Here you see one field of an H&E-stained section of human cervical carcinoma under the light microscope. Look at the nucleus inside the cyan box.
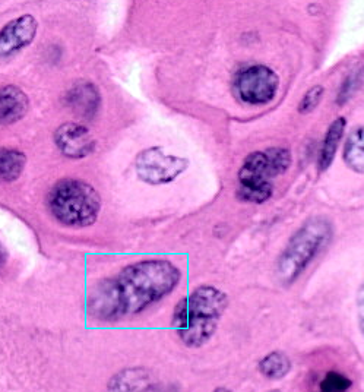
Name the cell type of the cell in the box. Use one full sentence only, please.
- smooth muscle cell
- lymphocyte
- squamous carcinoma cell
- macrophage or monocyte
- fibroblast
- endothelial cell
In the context of this tissue, the cell in the box is a squamous carcinoma cell.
